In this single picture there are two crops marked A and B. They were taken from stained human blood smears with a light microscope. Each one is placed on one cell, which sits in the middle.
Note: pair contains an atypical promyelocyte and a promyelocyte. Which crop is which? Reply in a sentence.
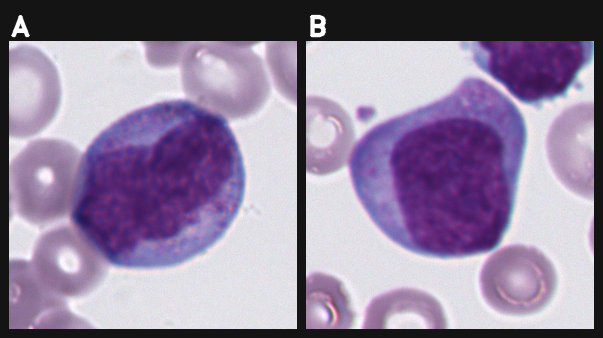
Within crop A sits a promyelocyte, and within crop B sits an atypical promyelocyte.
